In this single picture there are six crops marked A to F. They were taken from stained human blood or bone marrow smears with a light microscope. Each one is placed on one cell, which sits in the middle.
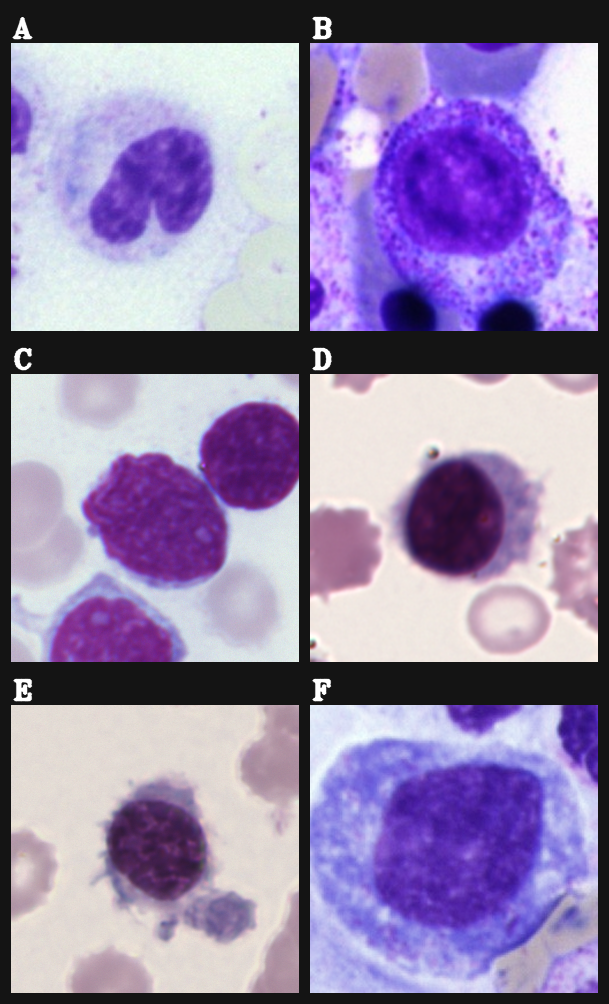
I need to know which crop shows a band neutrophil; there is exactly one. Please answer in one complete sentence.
The cell at the center of crop A is the one that is a band neutrophil.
